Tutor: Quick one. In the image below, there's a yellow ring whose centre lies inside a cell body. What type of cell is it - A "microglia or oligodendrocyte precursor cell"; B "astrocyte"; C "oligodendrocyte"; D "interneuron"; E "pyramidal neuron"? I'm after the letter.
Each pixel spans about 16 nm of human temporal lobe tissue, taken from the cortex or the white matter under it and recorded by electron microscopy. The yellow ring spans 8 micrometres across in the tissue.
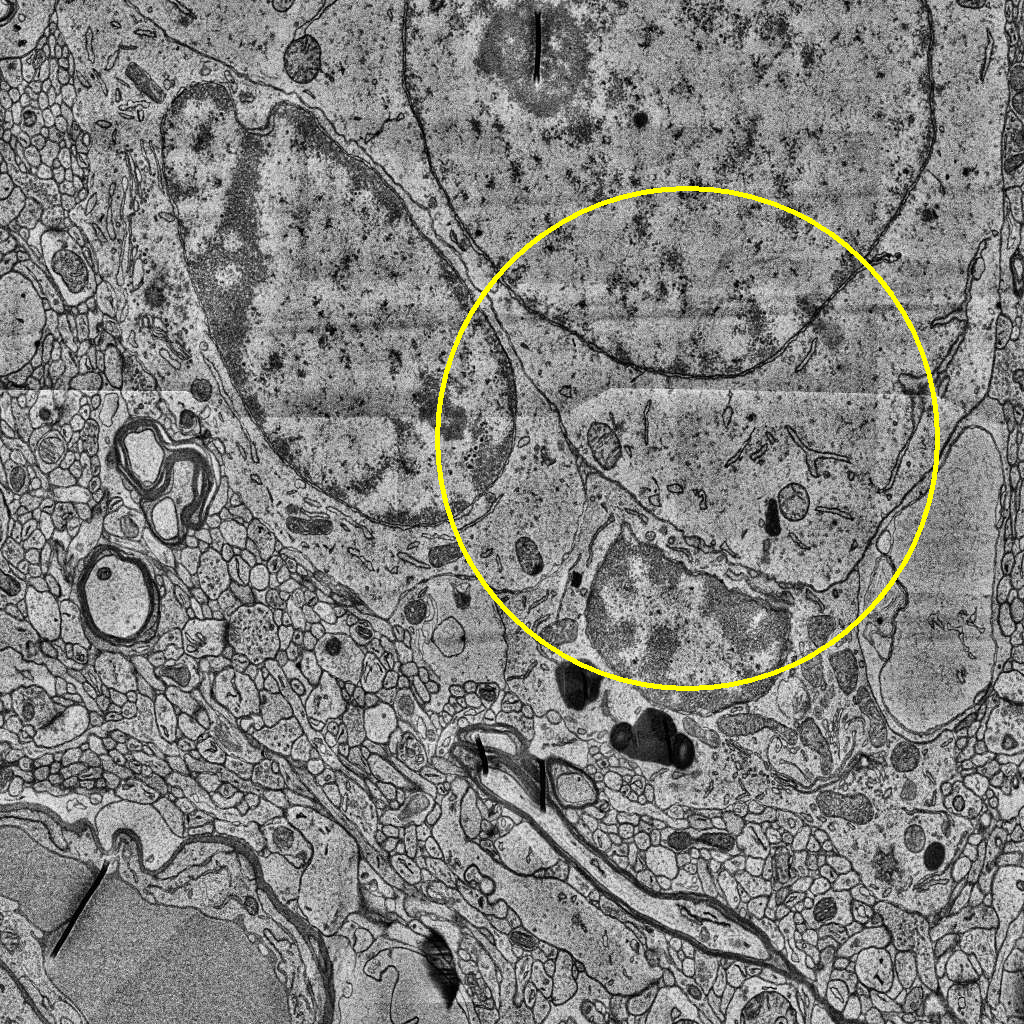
A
